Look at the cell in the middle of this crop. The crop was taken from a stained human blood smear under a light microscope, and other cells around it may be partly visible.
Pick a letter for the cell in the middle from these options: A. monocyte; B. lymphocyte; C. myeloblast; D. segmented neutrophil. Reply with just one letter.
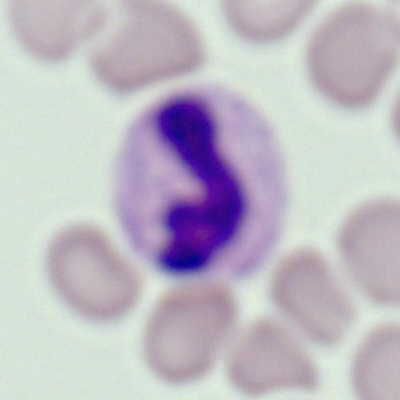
D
